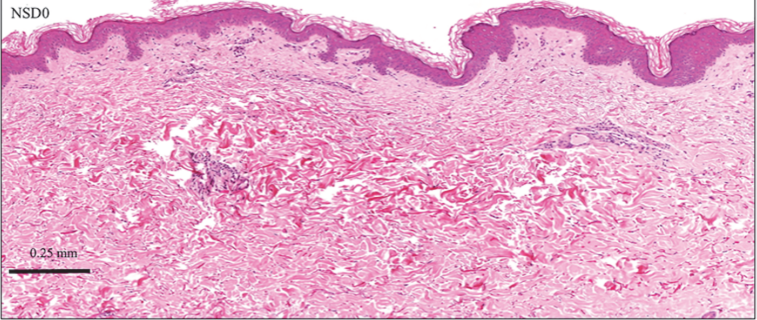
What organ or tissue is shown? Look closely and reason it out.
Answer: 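Normal skin. A continuous purple stratified epithelial layer runs along the top surface. Beneath it lies a broad pink layer of loosely woven collagen bundles. A few small purple clusters of cells sit around vessels in the connective tissue.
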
